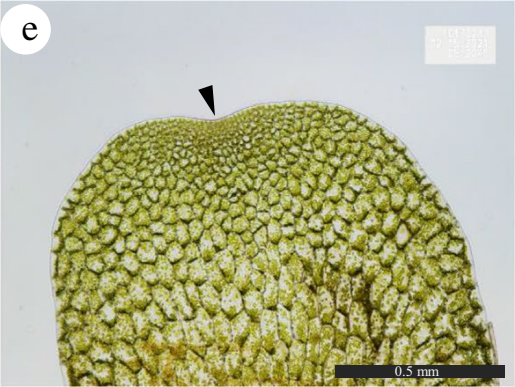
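This is the rounded tip of a fern gametophyte, a flat plate only one cell thick. Its surface is a mosaic of polygonal cells with thin walls, each filled with many small green chloroplasts. Toward the lower part the cells are large and clearly outlined; toward the tip they grow smaller and more crowded. At the very top the smooth margin dips into a shallow notch, and here the smallest, densest cells lie, the dividing zone from which the plate grows. The rim itself is a thin, clear edge without hairs.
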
